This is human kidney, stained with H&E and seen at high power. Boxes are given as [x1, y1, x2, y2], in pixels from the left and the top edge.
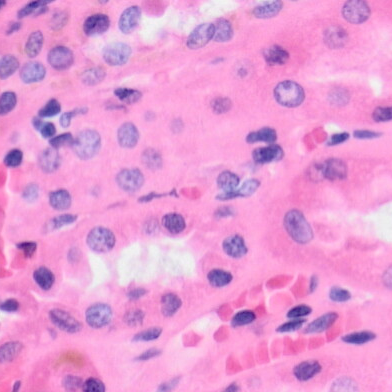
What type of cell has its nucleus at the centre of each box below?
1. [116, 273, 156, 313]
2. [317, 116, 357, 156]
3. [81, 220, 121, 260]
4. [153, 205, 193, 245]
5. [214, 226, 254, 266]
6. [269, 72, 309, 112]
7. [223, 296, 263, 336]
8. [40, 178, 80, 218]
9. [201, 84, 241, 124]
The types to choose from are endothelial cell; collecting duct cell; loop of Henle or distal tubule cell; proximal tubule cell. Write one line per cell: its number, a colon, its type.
1: loop of Henle or distal tubule cell
2: endothelial cell
3: loop of Henle or distal tubule cell
4: loop of Henle or distal tubule cell
5: loop of Henle or distal tubule cell
6: proximal tubule cell
7: endothelial cell
8: loop of Henle or distal tubule cell
9: proximal tubule cell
